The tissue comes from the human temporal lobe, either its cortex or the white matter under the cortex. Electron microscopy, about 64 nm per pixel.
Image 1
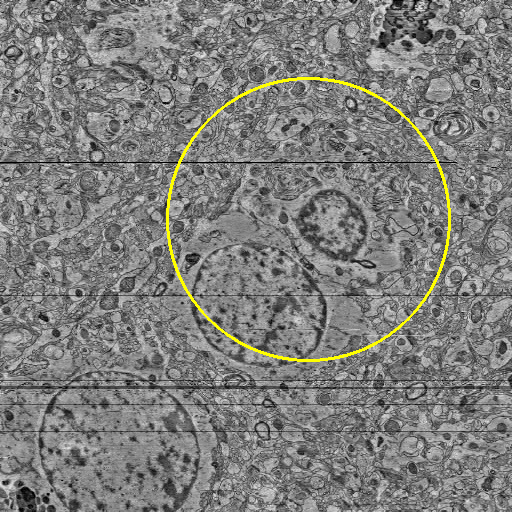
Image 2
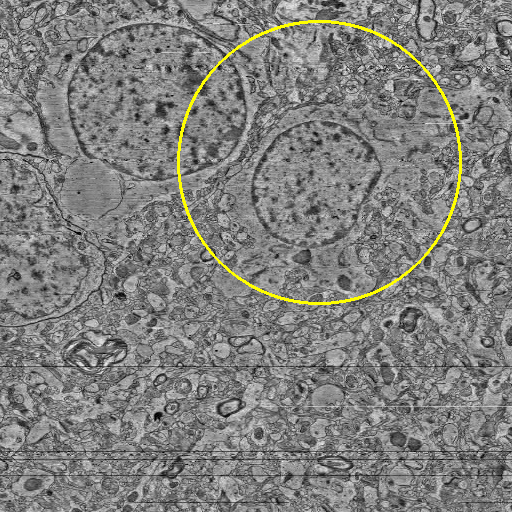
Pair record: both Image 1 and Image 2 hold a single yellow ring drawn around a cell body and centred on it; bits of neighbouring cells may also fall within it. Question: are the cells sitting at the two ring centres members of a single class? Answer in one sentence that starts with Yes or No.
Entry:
Yes, both ring-centre cells in Image 1 and Image 2 are members of one class.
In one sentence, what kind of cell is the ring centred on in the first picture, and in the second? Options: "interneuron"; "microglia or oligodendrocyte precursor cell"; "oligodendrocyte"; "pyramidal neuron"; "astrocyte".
Both rings mark an astrocyte, one in each picture.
